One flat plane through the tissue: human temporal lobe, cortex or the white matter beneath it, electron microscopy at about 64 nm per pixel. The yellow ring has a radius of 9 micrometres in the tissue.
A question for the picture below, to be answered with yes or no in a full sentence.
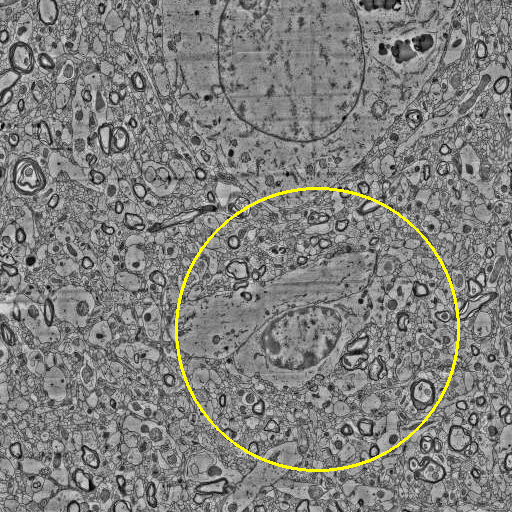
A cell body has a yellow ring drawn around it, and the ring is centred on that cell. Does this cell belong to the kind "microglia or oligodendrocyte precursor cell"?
Yes, the pictured cell at the ring's centre belongs to that kind.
